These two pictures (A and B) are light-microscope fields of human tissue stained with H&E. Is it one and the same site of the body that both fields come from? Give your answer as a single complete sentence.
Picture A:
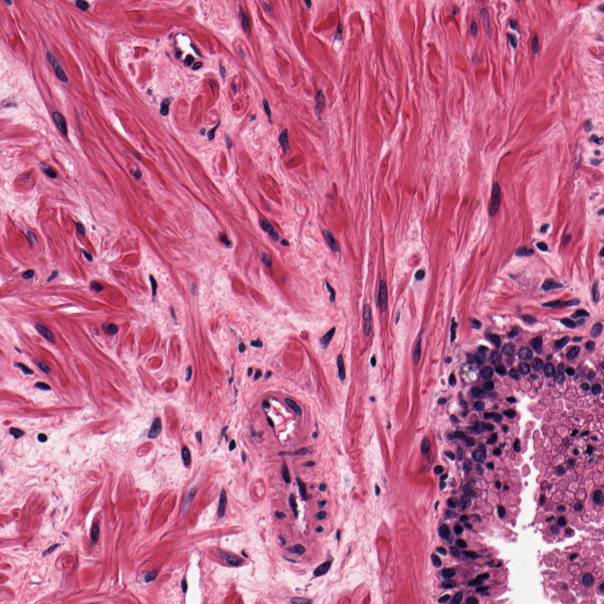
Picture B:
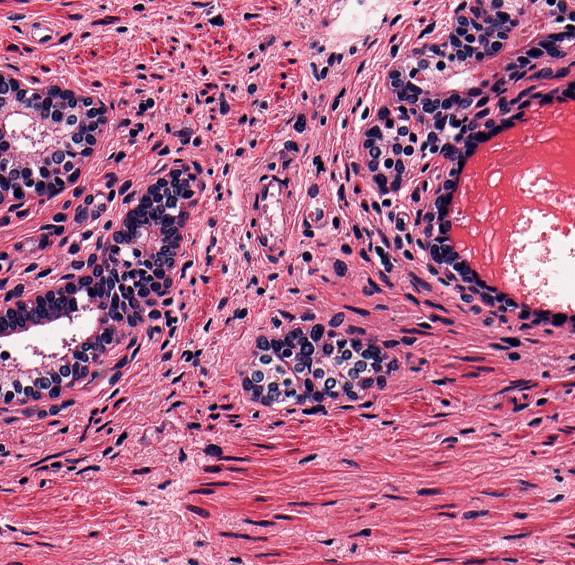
Yes, they come from the same site of the body: both come from the prostate.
